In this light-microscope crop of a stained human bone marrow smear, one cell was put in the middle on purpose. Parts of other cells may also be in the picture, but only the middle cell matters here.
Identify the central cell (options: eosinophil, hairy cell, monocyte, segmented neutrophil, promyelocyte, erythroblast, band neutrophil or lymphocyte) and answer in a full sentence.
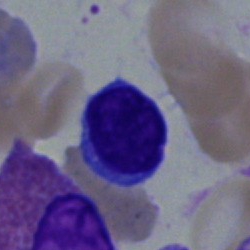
The cell at the centre of the field is a lymphocyte.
